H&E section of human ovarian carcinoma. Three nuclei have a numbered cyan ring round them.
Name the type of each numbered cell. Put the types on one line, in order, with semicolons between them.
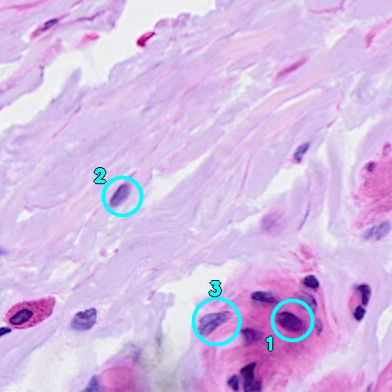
smooth muscle cell; fibroblast; smooth muscle cell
